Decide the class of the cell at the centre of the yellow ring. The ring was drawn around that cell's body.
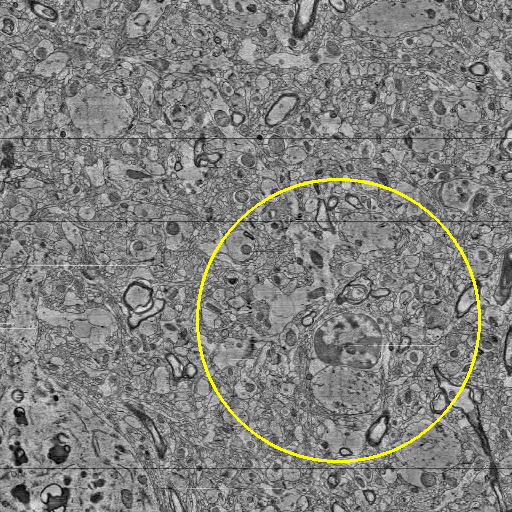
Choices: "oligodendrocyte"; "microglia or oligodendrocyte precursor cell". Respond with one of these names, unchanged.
microglia or oligodendrocyte precursor cell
